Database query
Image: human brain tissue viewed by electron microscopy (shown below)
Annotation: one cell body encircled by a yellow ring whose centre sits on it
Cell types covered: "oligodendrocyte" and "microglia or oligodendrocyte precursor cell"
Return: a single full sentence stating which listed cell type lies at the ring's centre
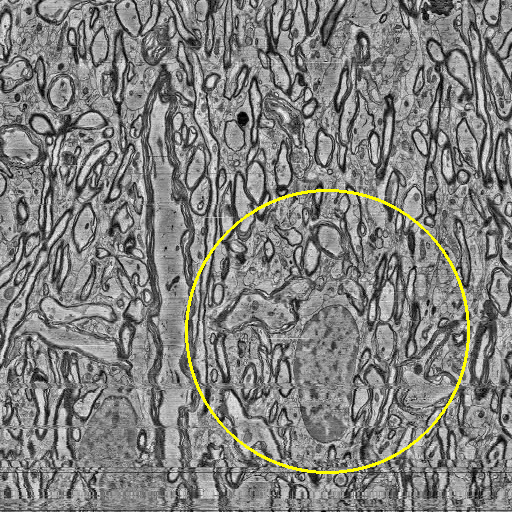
In the image, the cell lying at the ring's centre is a microglial cell or oligodendrocyte precursor cell.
